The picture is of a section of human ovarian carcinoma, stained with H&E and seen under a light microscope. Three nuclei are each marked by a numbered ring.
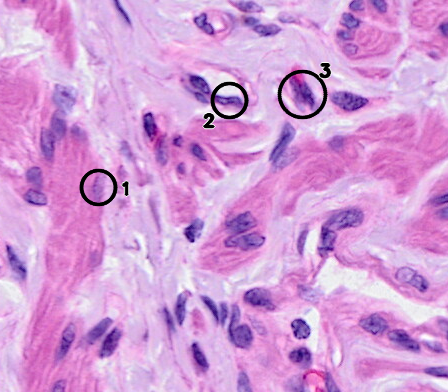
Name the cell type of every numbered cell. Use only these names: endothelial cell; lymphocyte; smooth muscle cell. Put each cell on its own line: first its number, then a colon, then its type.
1: smooth muscle cell
2: endothelial cell
3: endothelial cell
